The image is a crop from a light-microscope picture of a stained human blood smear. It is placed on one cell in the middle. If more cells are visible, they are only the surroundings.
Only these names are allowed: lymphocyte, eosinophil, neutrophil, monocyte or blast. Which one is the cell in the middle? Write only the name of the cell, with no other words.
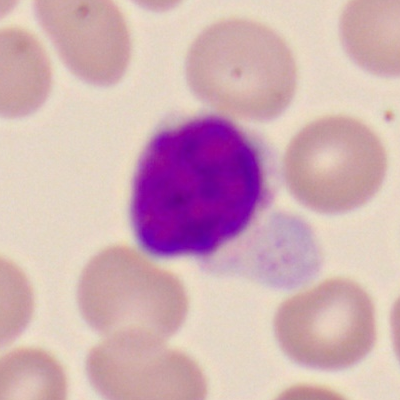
lymphocyte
